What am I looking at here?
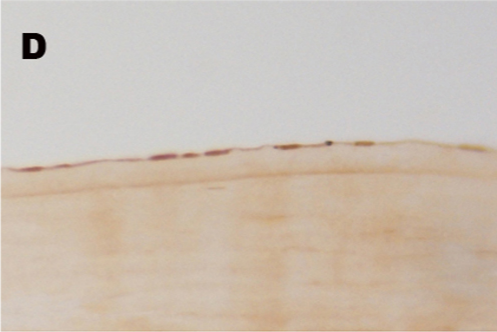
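The image shows the inner corneal surface covered by a thin single layer of endothelial cells with brown-stained nuclei. The nuclei are elongated and very flat, lying end to end in one row along the surface. Directly beneath them lies a narrow homogeneous band bordering the stroma. The stroma below is composed of lamellae with a light diffuse tan tint and faint vertical streaking. The cell layer is thin and continuous along the visible length of the surface.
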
